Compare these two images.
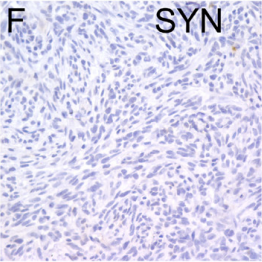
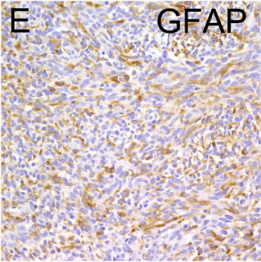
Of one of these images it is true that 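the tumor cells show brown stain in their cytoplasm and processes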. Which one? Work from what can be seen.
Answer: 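The second image. First image: cells have blue nuclei with no brown staining. Second image: brown staining fills cell bodies and elongated processes between blue nuclei.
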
